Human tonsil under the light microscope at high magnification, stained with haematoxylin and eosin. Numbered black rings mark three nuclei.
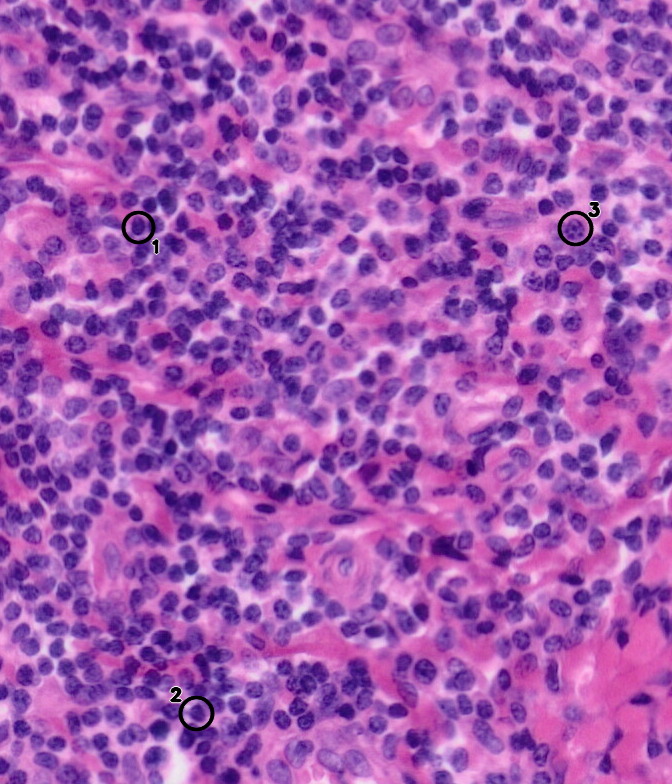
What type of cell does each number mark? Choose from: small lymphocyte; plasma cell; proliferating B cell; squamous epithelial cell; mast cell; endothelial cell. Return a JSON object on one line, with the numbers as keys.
{"1": "small lymphocyte", "2": "small lymphocyte", "3": "plasma cell"}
